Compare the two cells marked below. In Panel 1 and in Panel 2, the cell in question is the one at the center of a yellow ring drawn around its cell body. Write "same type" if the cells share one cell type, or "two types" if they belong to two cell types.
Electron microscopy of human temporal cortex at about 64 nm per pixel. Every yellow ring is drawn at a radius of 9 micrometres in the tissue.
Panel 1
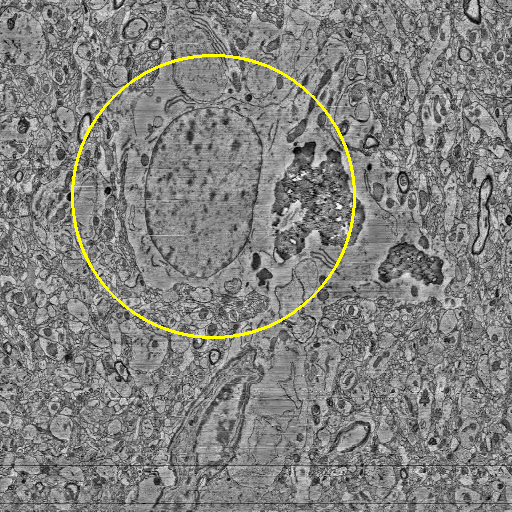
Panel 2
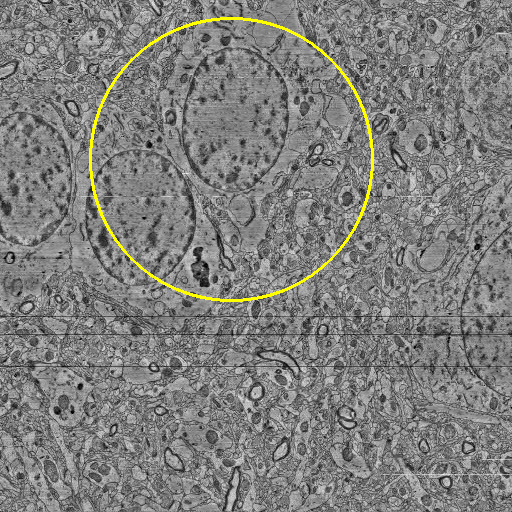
same type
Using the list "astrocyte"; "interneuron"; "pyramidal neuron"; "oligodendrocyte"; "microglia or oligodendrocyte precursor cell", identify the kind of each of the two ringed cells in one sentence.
In the first picture and in the second, the ring is centred on an astrocyte.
